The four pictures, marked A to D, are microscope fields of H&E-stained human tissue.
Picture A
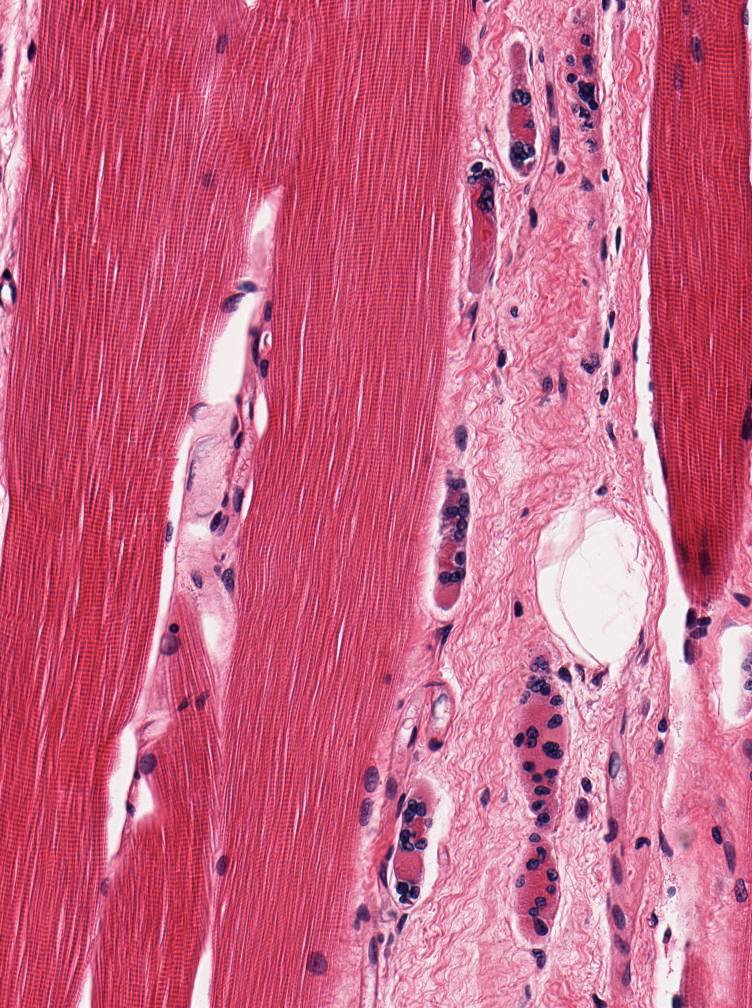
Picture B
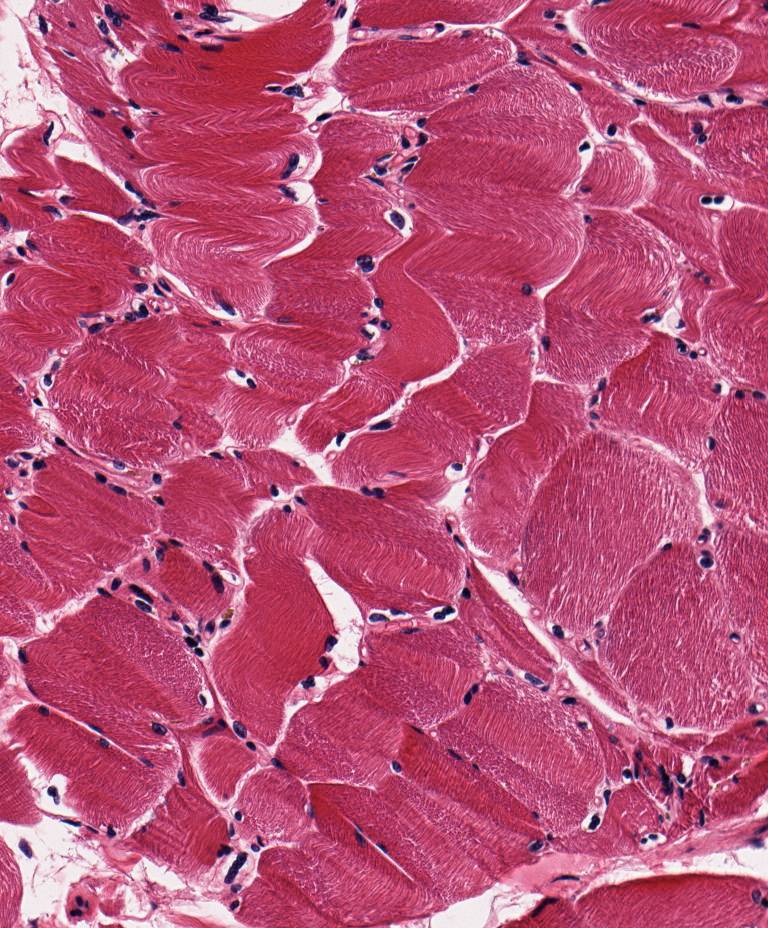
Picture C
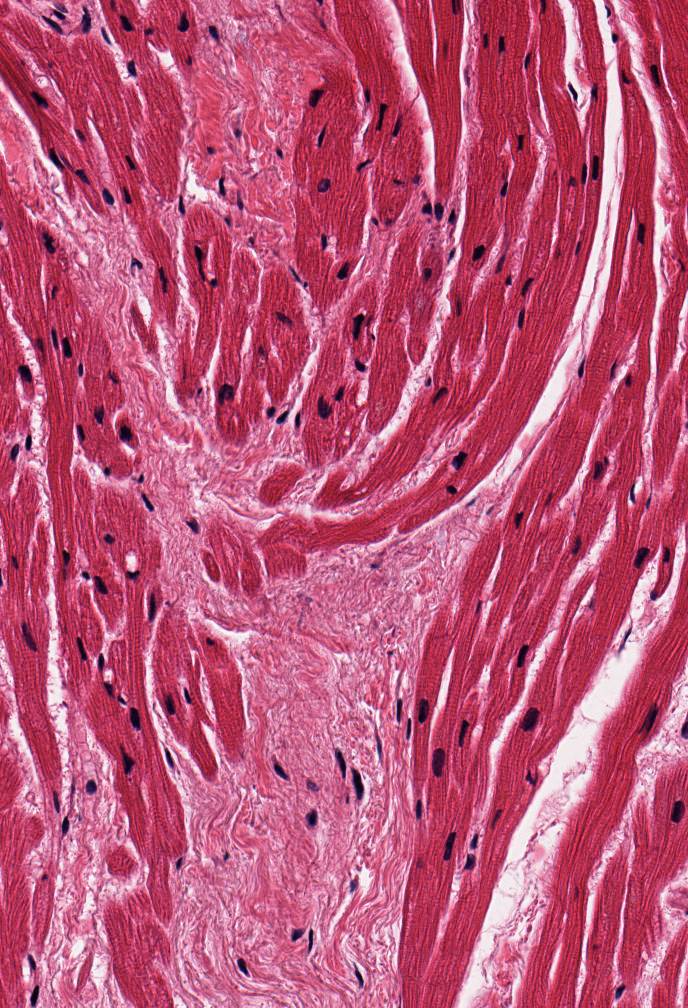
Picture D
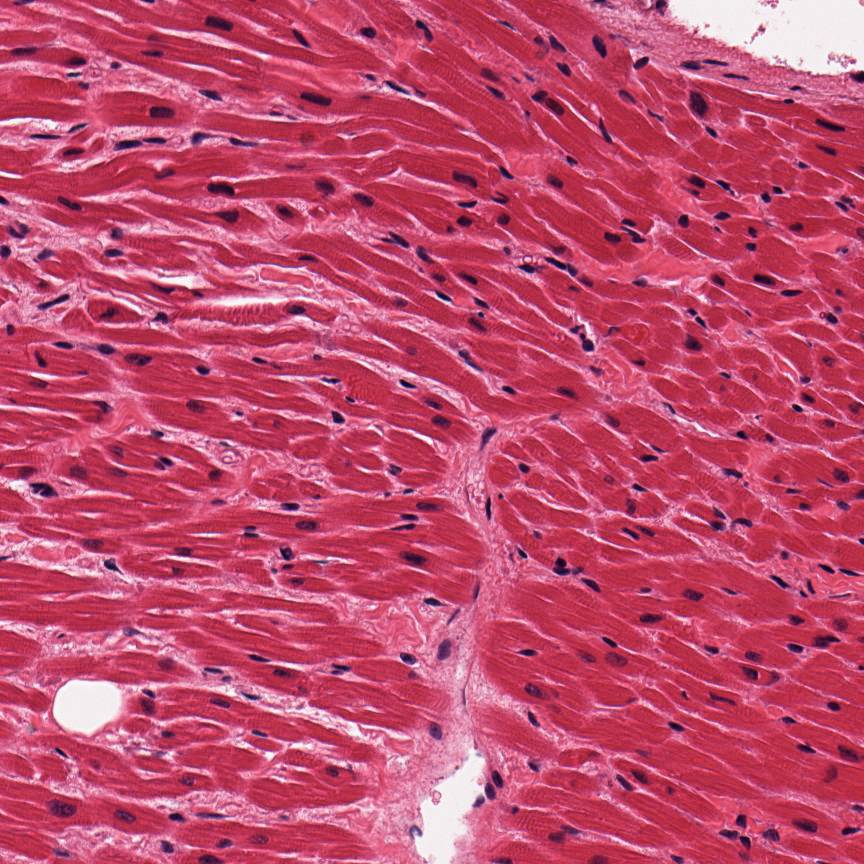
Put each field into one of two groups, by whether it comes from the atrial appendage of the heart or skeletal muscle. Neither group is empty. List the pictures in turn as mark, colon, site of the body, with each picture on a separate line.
A: skeletal muscle
B: skeletal muscle
C: atrial appendage of the heart
D: atrial appendage of the heart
